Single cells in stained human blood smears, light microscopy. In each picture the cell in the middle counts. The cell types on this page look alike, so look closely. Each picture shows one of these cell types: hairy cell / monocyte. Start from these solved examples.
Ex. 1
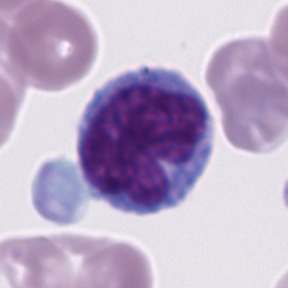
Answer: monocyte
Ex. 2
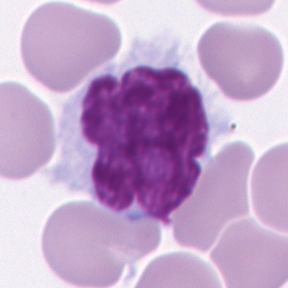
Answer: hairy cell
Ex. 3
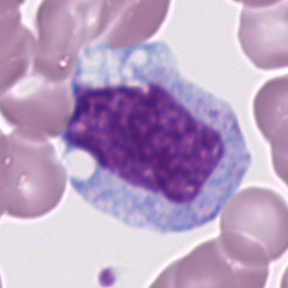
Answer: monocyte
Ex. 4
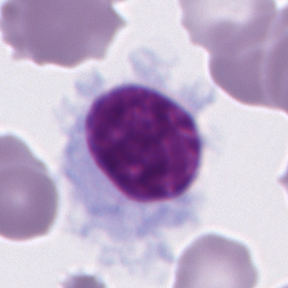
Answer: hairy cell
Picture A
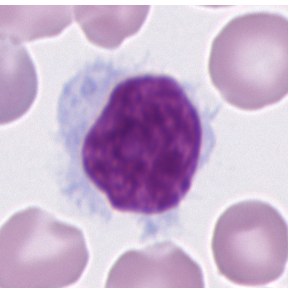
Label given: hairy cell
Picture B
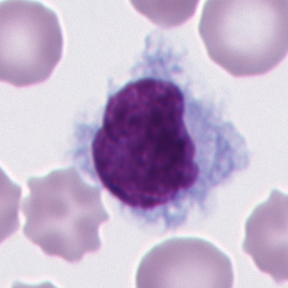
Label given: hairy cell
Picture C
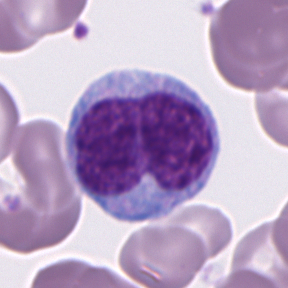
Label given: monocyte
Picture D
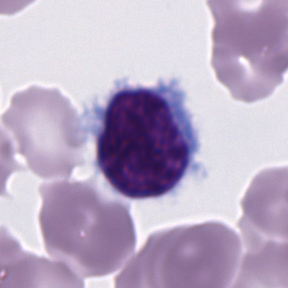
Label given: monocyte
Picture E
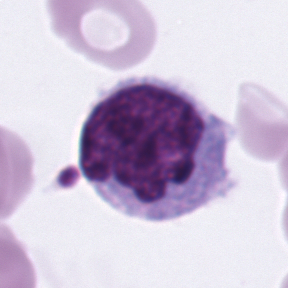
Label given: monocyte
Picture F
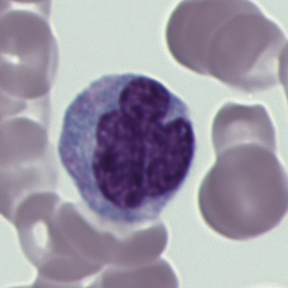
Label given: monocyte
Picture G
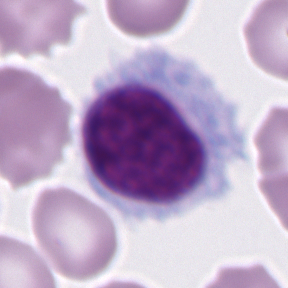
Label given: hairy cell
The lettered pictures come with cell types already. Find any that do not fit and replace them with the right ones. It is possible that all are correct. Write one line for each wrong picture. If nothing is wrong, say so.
D: change monocyte to hairy cell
